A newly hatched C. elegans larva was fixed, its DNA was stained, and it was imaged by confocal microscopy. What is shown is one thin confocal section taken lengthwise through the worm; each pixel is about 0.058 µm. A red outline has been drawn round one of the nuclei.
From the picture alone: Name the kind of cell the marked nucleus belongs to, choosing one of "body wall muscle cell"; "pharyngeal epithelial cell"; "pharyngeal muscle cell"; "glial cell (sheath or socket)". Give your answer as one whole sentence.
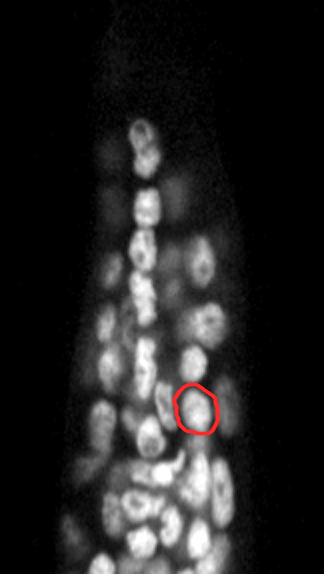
The cell with the marked nucleus is a glial cell (sheath or socket).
